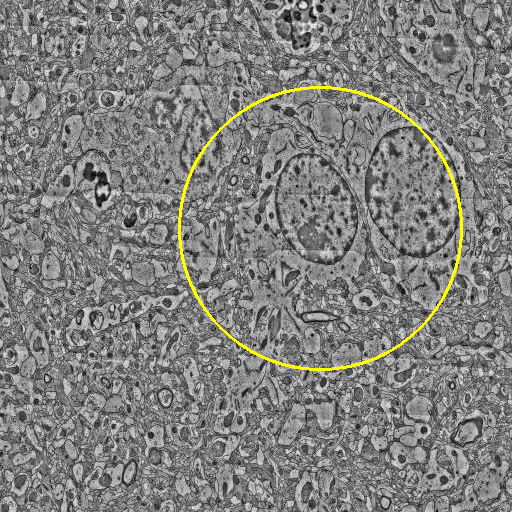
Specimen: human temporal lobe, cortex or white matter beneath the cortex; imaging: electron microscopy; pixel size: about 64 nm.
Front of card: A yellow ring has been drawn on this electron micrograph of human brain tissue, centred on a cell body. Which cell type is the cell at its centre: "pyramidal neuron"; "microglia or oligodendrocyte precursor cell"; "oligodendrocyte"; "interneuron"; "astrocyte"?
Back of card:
astrocyte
